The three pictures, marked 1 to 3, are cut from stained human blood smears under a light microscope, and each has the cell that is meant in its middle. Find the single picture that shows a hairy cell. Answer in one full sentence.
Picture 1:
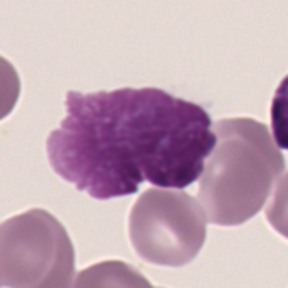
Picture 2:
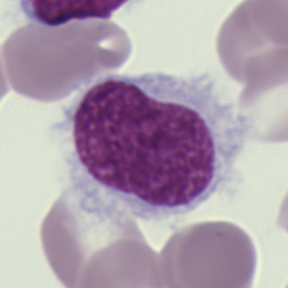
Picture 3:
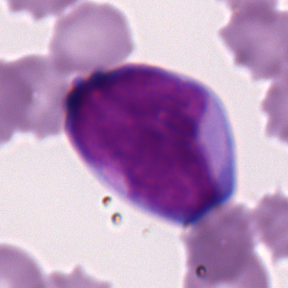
The hairy cell is the one in picture 2.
